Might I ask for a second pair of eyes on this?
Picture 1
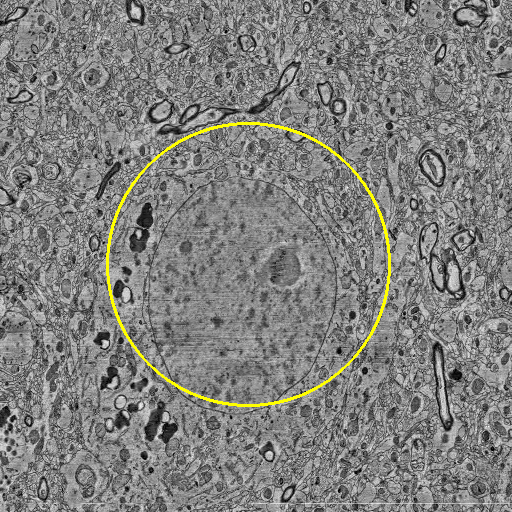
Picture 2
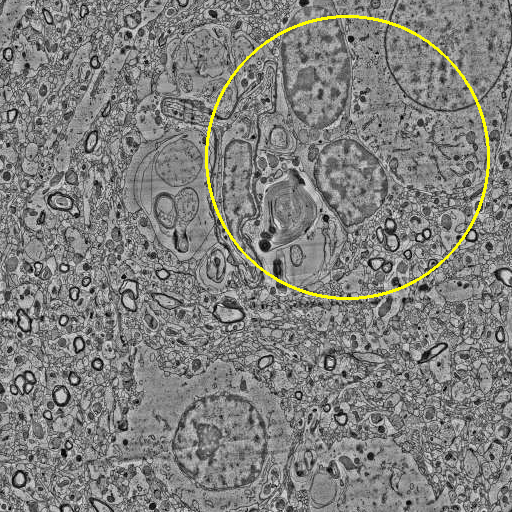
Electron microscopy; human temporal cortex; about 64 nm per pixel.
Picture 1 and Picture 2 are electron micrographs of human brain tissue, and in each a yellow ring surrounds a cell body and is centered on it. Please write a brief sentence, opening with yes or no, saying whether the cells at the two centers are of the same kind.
No, the cells are of two kinds.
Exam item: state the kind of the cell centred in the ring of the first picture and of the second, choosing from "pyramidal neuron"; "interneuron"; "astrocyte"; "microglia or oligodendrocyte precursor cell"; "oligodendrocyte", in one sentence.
The first picture shows a pyramidal neuron at the ring centre and the second shows an oligodendrocyte.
